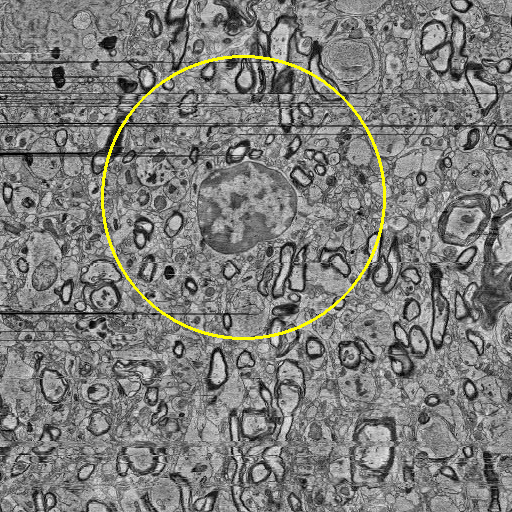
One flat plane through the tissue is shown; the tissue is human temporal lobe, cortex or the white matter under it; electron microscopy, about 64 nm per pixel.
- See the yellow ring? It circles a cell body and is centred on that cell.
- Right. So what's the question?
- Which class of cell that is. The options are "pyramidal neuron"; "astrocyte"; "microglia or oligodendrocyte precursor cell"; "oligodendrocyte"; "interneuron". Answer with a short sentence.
The centre of the ring holds a microglial cell or oligodendrocyte precursor cell.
